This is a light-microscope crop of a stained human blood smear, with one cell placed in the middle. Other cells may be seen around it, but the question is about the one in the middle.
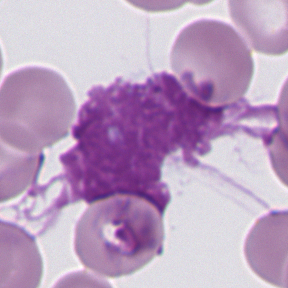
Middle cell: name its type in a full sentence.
The cell at the heart of this crop is a smudge cell.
